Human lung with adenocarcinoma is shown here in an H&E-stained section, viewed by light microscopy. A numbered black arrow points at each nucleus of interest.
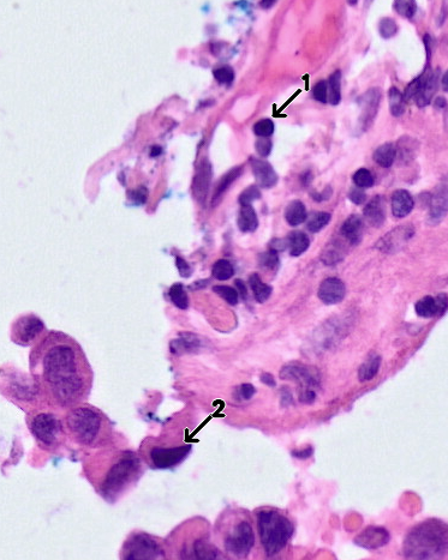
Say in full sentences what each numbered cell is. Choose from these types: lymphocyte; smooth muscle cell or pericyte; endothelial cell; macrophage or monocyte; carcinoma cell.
Cell 1 is a lymphocyte. Cell 2 is a carcinoma cell.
